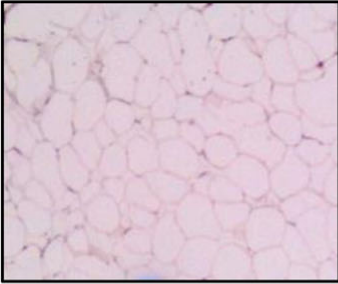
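This is a sheet of fat cells: large, rounded to polygonal adipocytes packed tightly against one another in a honeycomb pattern. Only a thin pink rim of cytoplasm and membrane marks the border of each cell. Nuclei are scarce and appear as small dark dots pressed to the edges of the cells. The spaces between the cells hold almost no other tissue. Together this is the typical picture of white adipose tissue.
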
